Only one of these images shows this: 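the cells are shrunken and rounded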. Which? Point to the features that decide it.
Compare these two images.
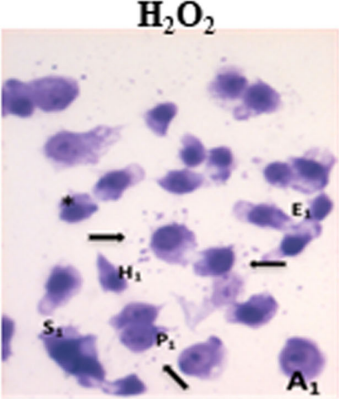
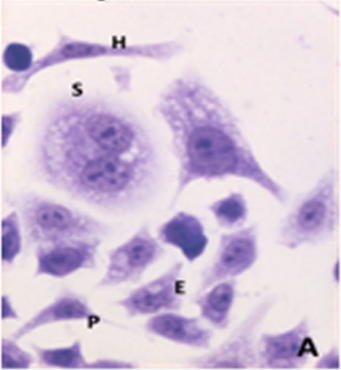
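First image: cells are small, compact and densely stained, with little spread cytoplasm. Second image: cells are spread out with broad pale cytoplasm, including a very large flat cell.
Conclusion: the first image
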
